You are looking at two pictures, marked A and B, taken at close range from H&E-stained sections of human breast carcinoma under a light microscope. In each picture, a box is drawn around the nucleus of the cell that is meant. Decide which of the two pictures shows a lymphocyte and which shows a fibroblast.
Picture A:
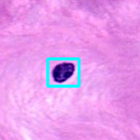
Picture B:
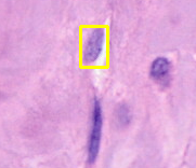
A: lymphocyte
B: fibroblast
